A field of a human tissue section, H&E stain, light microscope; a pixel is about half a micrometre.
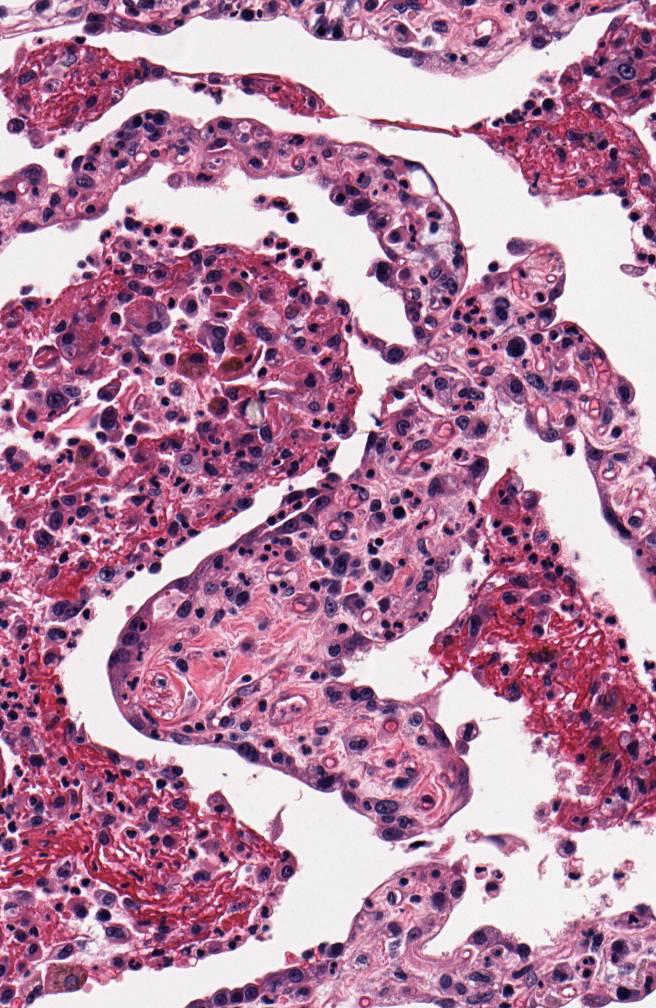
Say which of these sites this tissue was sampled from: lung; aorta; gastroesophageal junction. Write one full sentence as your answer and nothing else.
It was from the lung that this tissue was sampled.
